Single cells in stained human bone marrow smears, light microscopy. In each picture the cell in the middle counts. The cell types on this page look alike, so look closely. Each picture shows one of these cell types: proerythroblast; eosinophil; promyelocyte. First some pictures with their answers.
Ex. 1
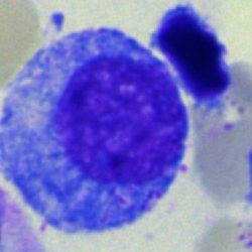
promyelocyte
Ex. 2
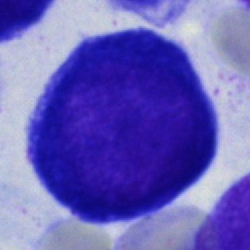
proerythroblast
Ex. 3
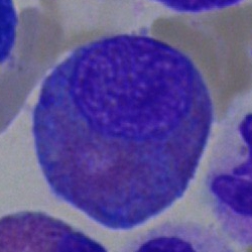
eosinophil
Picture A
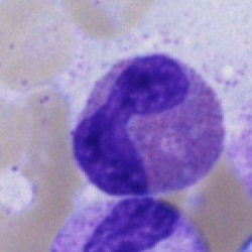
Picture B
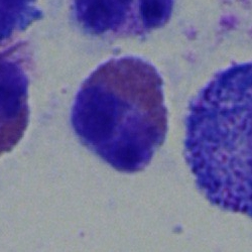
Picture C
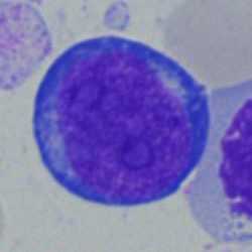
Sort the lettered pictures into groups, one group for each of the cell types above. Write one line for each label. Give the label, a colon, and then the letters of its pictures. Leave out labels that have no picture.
proerythroblast: C
eosinophil: A, B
